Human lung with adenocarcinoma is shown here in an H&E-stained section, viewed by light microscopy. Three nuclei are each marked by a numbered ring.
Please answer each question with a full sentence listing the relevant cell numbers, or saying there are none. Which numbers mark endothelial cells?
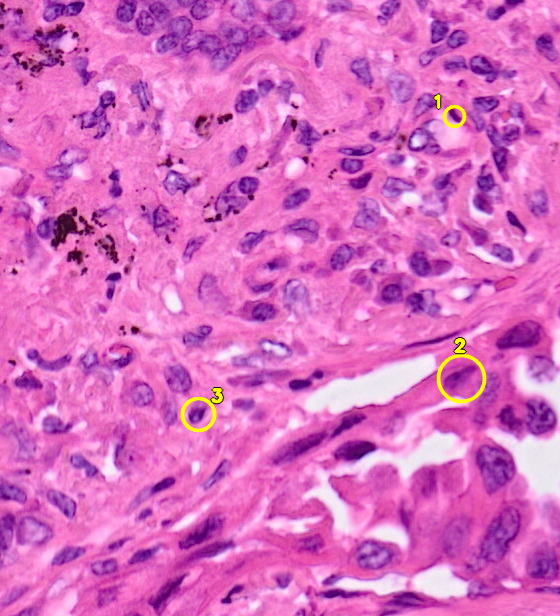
Mind that only cell 1 is an endothelial cell, none of the rest.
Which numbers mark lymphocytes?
Mind that only cell 3 is a lymphocyte, none of the rest.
